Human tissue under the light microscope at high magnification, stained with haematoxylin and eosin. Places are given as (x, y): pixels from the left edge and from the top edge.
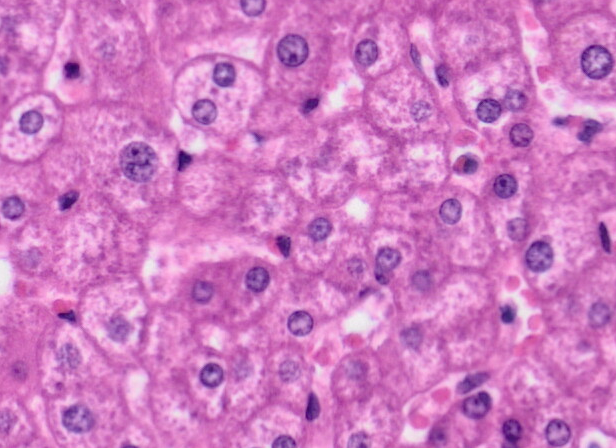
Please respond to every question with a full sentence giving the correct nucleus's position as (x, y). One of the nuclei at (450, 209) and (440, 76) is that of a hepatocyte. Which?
Among the two nuclei, the one lying at (450, 209) is part of a hepatocyte.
